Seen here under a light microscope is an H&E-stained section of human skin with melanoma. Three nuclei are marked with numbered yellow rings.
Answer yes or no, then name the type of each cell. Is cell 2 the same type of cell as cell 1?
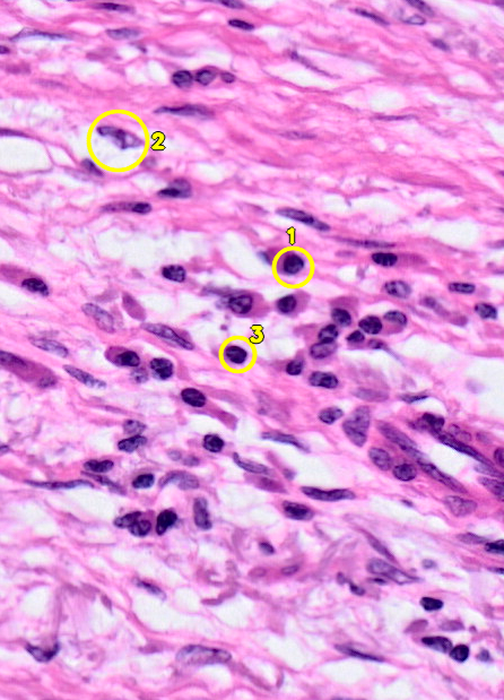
No, cell 2 is a fibroblast or myofibroblast and cell 1 is a plasma cell.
